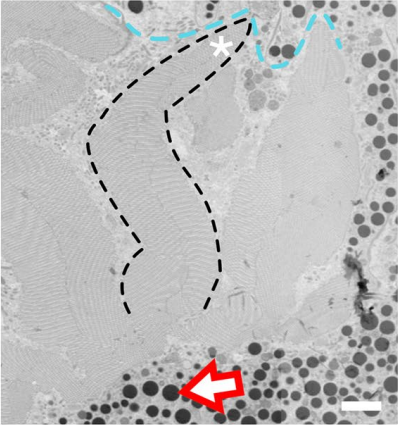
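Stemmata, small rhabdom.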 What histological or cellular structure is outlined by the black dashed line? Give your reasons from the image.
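Rhabdomere. The outlined, bent region is filled with fine parallel tubular profiles. It extends away from a band of dense round granules.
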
